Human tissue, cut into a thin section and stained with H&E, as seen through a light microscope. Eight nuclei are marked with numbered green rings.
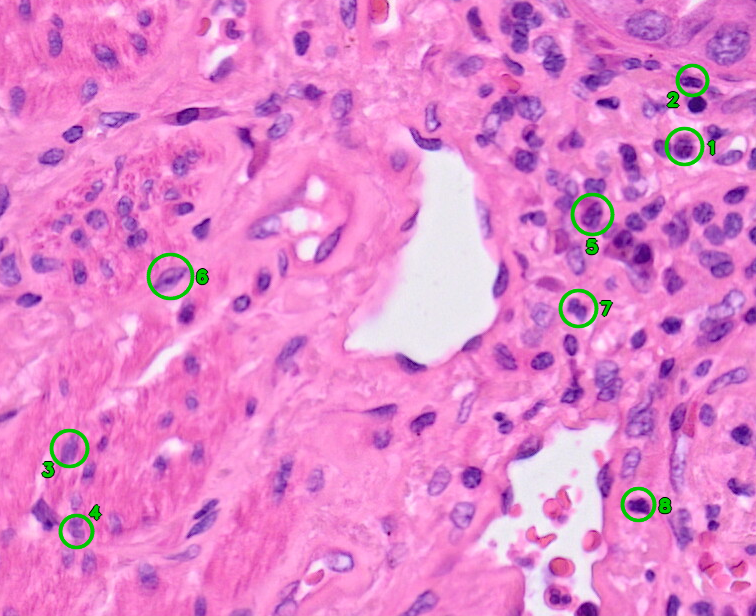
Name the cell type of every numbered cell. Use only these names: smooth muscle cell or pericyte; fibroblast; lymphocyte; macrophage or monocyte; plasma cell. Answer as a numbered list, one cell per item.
1. plasma cell
2. lymphocyte
3. smooth muscle cell or pericyte
4. smooth muscle cell or pericyte
5. plasma cell
6. fibroblast
7. lymphocyte
8. lymphocyte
